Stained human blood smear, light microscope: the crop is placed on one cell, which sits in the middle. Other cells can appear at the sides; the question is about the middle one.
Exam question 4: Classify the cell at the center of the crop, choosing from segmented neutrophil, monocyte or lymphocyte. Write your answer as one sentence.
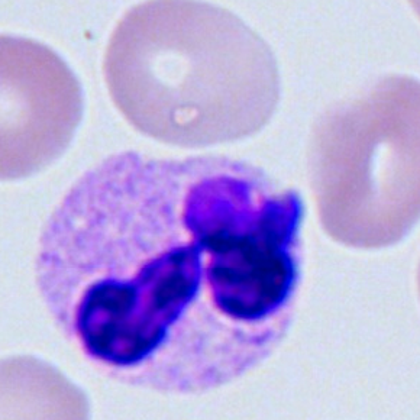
In the center of this field lies a segmented neutrophil.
